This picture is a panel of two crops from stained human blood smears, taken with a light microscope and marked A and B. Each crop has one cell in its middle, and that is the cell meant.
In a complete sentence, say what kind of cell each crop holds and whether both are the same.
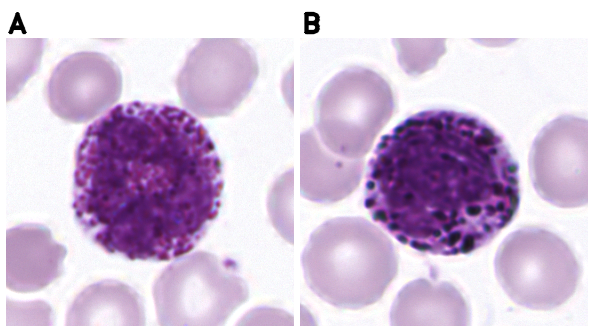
Yes, the centred cells are basophils in both crops.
